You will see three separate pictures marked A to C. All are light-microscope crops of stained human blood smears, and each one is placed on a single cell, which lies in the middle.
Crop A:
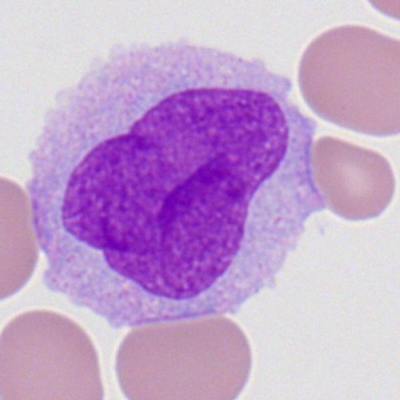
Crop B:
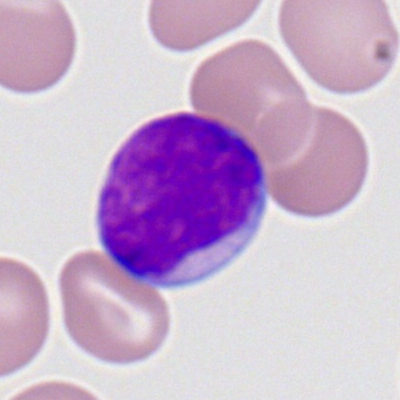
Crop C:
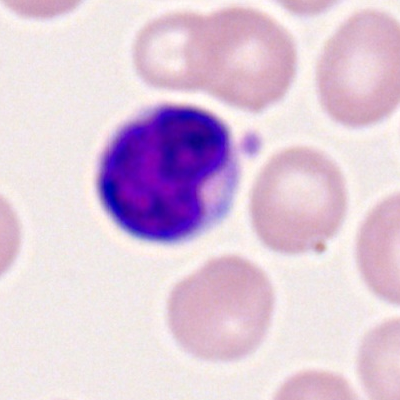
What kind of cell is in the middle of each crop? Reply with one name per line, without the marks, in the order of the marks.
monocyte
myeloblast
lymphocyte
